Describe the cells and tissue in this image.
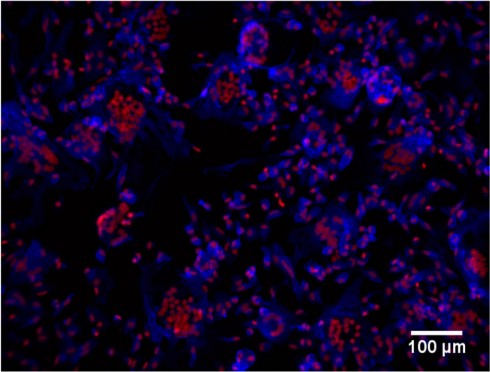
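Numerous large cells each contain a tight cluster of many red nuclei packed closely together. These multinucleated cells have broad cytoplasm outlined in blue, with the nuclear cluster usually lying toward the cell centre. Smaller cells with one or a few red nuclei are scattered between them. The cells crowd irregularly, with dark gaps of bare substrate between groups.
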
